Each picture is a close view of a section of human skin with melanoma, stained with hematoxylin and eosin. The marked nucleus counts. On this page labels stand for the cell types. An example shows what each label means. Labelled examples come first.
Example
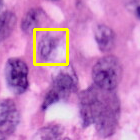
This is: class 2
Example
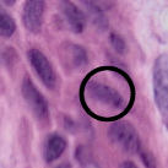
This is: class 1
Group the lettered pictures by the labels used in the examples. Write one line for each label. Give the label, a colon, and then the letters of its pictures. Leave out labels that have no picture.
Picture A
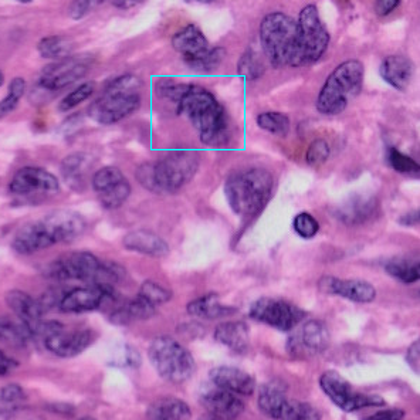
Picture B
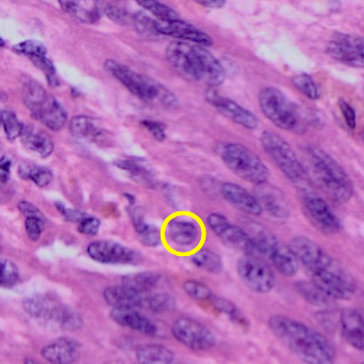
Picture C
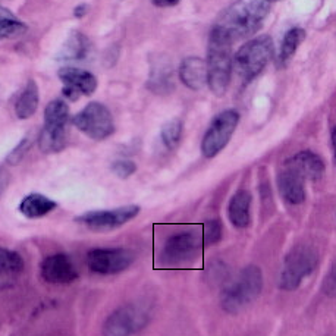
class 2: A, B
class 1: C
